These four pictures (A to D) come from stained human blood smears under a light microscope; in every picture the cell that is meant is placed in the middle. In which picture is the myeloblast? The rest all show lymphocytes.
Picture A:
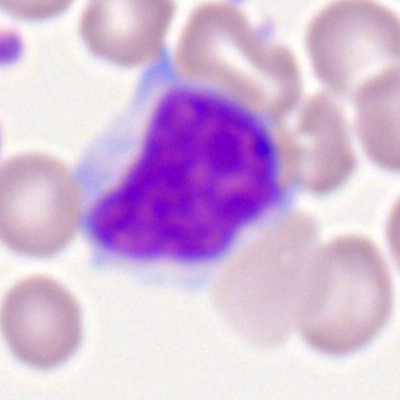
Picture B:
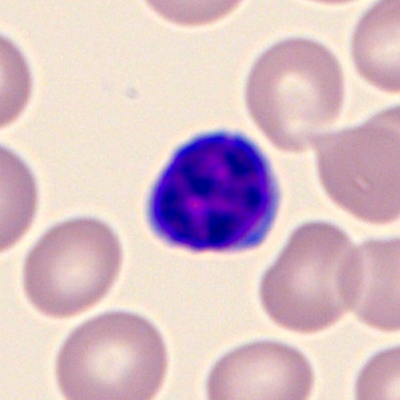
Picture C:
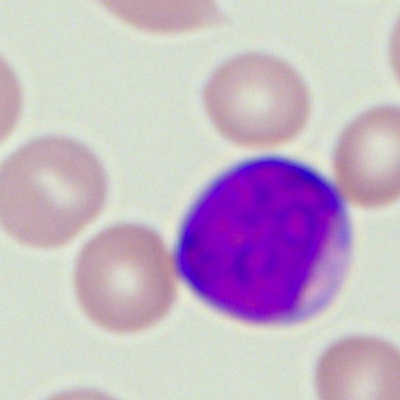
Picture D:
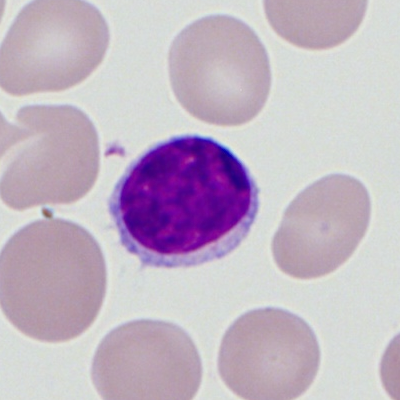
C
